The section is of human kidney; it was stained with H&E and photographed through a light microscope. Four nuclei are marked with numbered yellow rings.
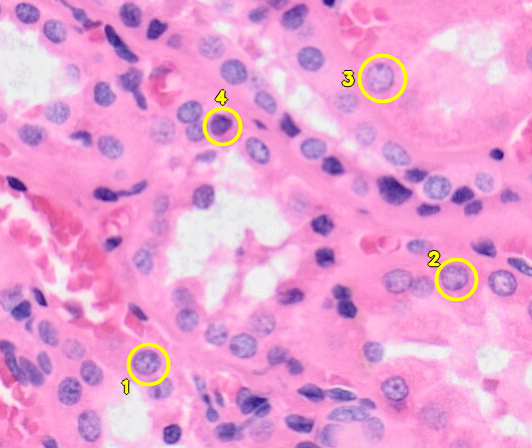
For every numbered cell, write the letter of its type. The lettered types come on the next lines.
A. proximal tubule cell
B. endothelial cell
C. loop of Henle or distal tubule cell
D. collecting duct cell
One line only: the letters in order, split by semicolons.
C; A; A; C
